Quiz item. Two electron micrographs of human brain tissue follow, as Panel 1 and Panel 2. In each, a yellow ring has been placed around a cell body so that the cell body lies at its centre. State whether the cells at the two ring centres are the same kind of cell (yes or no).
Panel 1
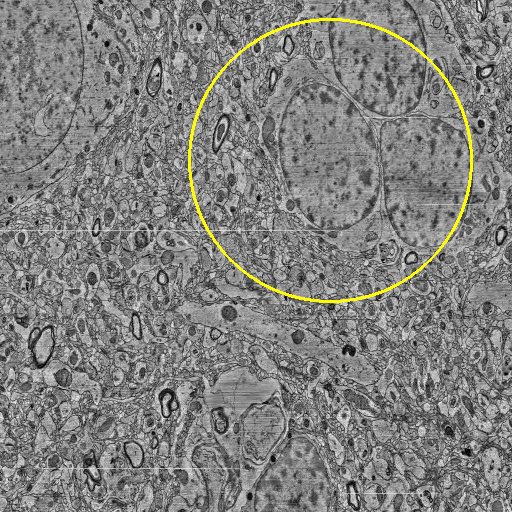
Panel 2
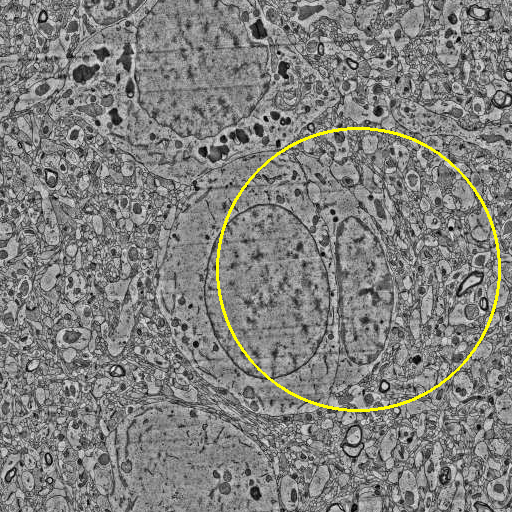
no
